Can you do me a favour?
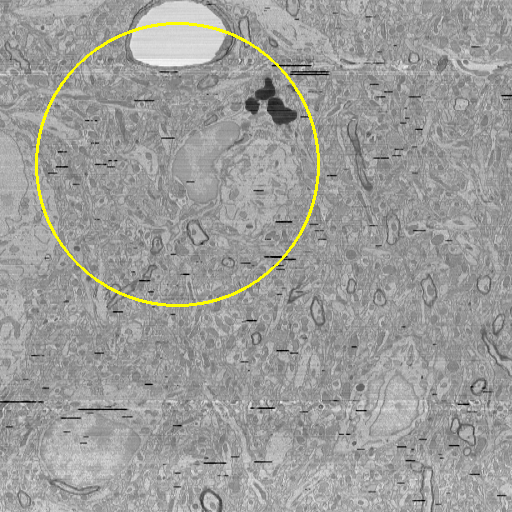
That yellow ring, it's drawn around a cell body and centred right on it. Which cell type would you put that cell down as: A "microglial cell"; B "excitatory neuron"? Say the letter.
A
